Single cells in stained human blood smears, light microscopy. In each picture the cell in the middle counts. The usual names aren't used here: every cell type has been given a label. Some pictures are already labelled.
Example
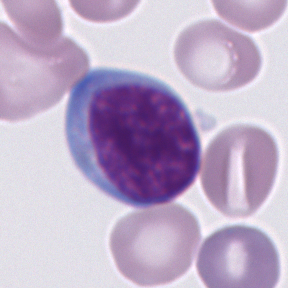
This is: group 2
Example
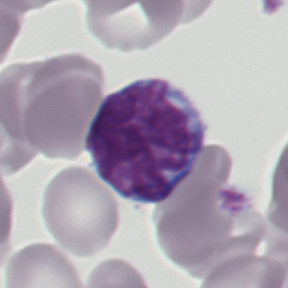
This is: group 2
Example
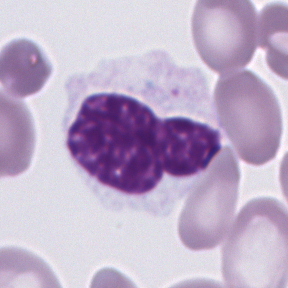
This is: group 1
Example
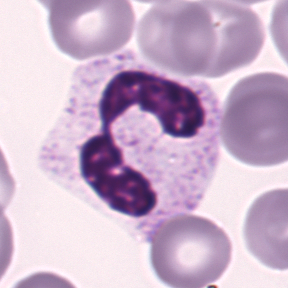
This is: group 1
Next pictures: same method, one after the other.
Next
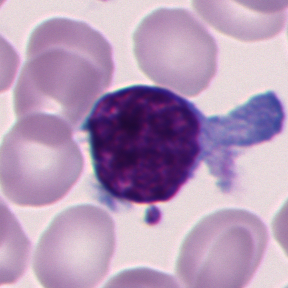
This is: group 2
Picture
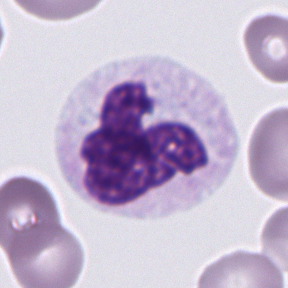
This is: group 1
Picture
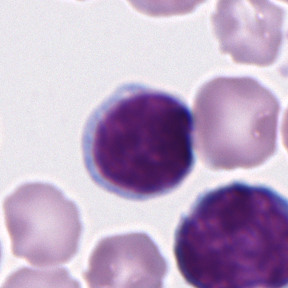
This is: group 2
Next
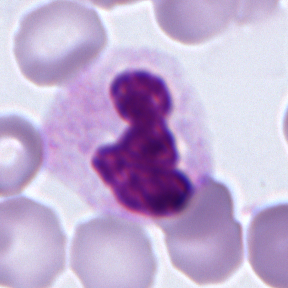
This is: group 1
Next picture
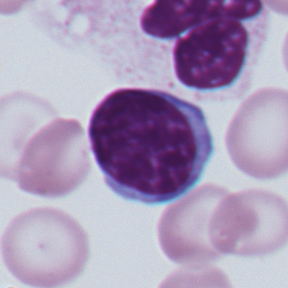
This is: group 2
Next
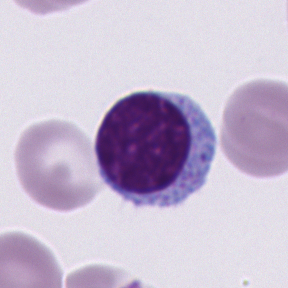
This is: group 2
